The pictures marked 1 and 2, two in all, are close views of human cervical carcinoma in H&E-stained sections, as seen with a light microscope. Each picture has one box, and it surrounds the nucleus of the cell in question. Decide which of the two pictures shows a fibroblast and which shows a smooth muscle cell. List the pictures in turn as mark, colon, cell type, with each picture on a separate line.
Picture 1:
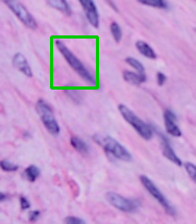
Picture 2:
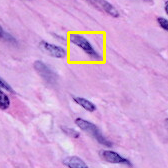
1: smooth muscle cell
2: fibroblast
